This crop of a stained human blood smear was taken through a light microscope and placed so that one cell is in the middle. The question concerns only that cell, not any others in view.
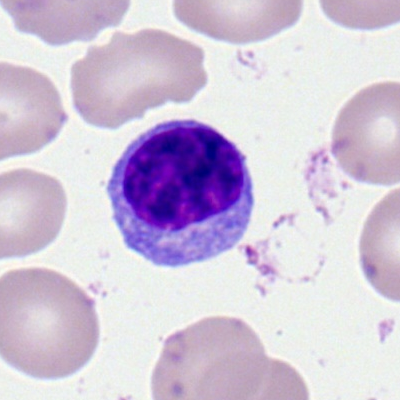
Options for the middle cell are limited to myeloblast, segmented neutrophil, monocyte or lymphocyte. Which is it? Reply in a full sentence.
Answering briefly, the cell in the middle is a lymphocyte.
